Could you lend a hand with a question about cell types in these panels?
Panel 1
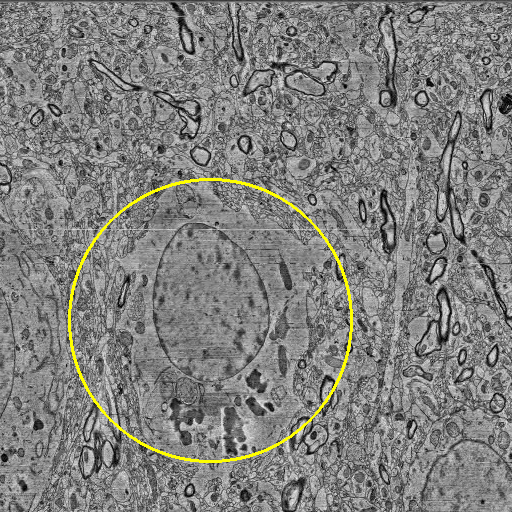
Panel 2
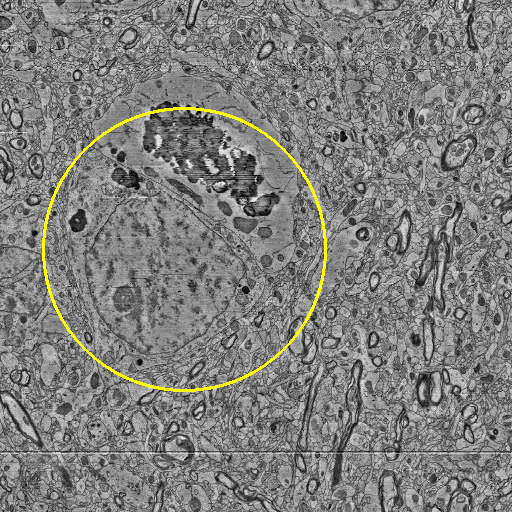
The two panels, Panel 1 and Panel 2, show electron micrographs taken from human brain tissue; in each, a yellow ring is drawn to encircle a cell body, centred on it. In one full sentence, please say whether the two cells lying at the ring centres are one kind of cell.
No, the cells at the ring centres in the two panels are two kinds of cell.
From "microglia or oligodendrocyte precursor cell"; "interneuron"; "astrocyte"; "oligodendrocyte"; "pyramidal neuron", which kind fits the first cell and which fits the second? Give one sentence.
The cell marked in the first picture is an astrocyte, and the one marked in the second is a pyramidal neuron.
